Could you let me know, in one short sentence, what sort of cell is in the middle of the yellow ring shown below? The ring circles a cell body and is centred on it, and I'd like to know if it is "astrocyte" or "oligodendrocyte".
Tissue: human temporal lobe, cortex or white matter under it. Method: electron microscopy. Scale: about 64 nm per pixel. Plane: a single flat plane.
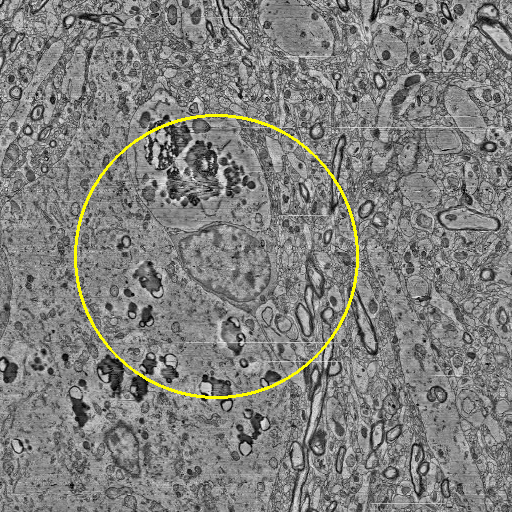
The ring circles the cell body of an oligodendrocyte.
